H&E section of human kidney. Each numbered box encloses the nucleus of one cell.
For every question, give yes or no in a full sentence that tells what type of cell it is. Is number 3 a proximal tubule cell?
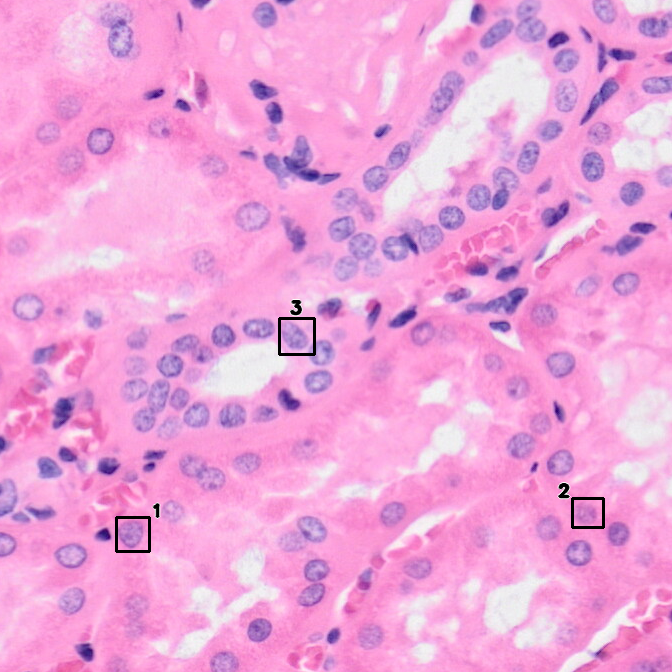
No, the marked cell 3 is not a proximal tubule cell, being instead a collecting duct cell.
